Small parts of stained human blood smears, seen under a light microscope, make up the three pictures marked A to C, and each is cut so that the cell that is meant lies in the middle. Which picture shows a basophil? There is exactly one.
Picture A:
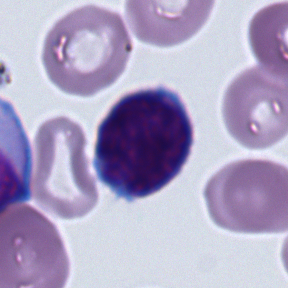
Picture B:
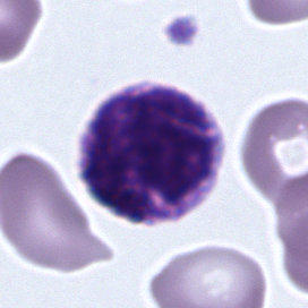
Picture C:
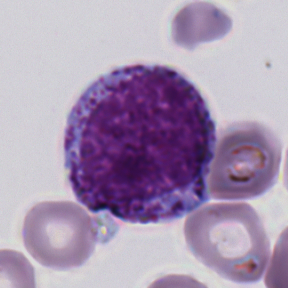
B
